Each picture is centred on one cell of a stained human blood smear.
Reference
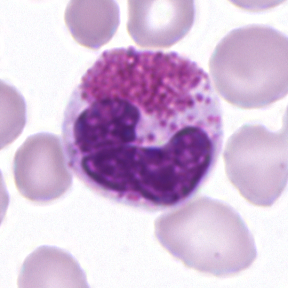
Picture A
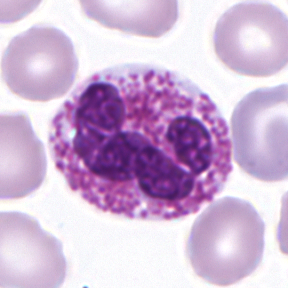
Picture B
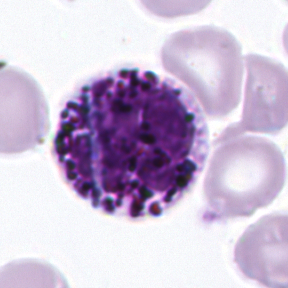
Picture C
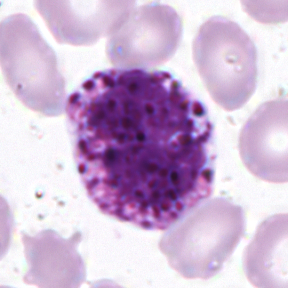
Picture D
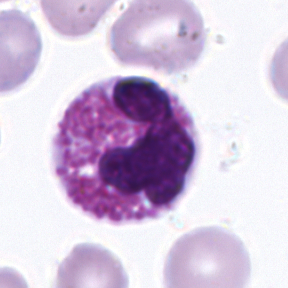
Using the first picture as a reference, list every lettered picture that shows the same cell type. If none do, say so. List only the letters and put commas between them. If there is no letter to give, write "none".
A, D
